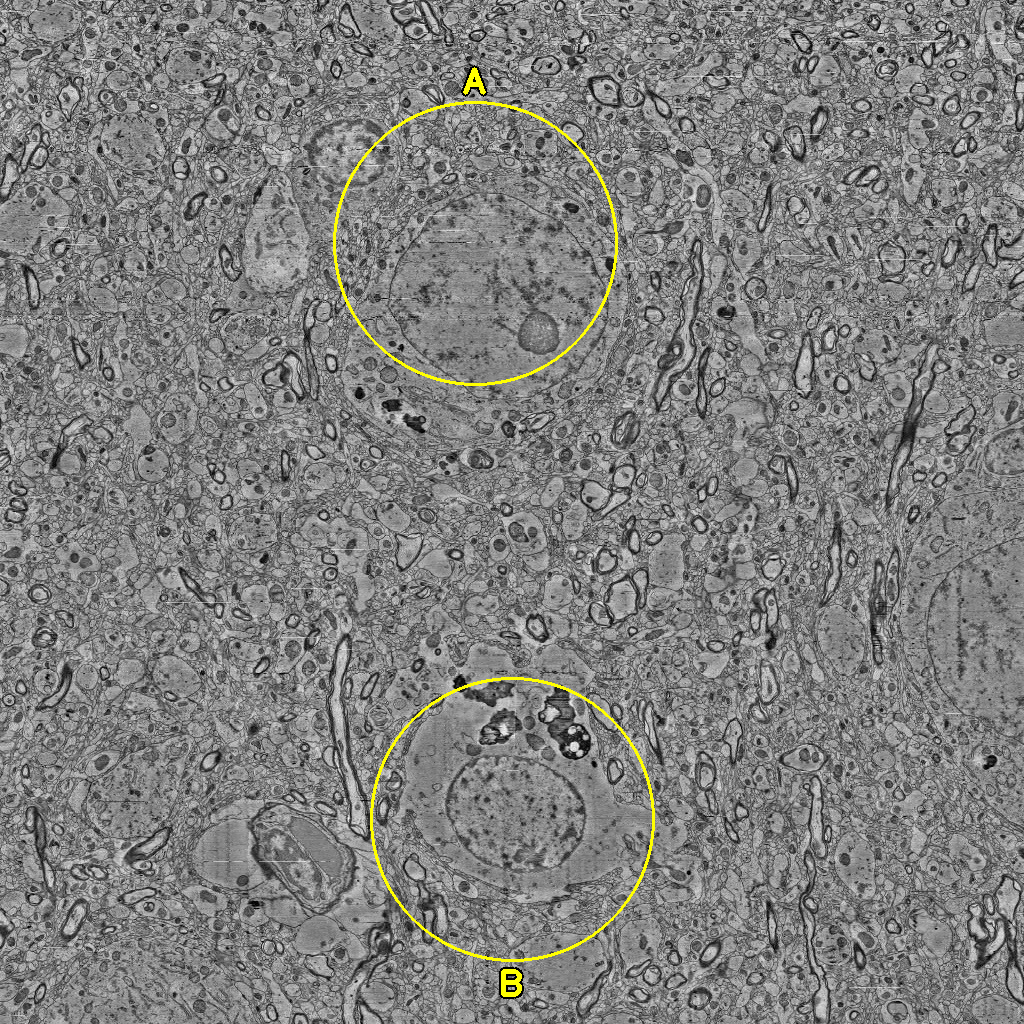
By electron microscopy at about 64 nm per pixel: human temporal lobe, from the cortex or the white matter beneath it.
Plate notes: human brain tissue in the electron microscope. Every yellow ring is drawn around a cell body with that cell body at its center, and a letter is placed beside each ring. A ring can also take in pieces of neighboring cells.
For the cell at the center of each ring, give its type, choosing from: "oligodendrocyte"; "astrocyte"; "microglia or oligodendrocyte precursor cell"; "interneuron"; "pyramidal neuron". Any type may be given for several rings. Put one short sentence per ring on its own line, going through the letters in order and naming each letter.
Ring A shows a pyramidal neuron at the center.
Ring B shows an astrocyte at the center.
